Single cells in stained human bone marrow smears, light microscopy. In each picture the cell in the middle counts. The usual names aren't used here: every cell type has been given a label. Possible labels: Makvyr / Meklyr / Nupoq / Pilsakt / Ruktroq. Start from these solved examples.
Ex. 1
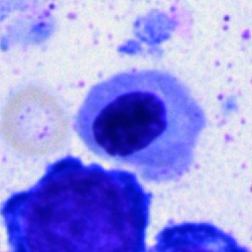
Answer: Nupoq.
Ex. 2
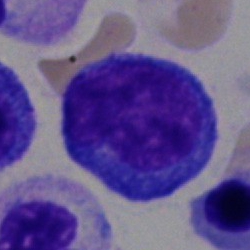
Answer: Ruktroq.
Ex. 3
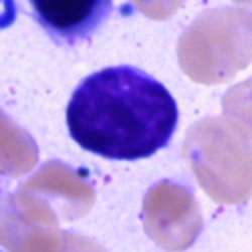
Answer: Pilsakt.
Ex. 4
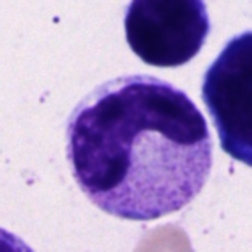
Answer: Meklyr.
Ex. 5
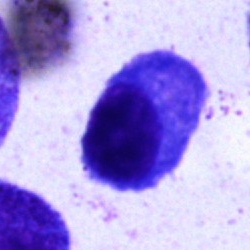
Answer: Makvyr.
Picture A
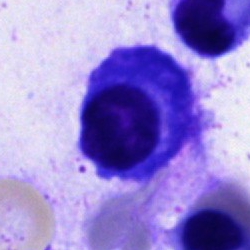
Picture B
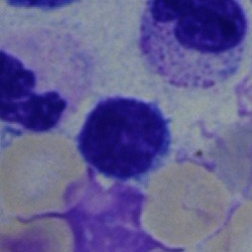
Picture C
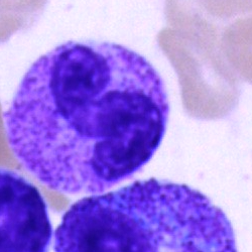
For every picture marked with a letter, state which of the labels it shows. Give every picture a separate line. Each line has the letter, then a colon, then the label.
A: Makvyr.
B: Pilsakt.
C: Meklyr.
